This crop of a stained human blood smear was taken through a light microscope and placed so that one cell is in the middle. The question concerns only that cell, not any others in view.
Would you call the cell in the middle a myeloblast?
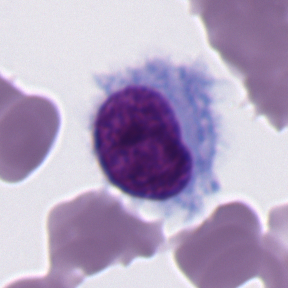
no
